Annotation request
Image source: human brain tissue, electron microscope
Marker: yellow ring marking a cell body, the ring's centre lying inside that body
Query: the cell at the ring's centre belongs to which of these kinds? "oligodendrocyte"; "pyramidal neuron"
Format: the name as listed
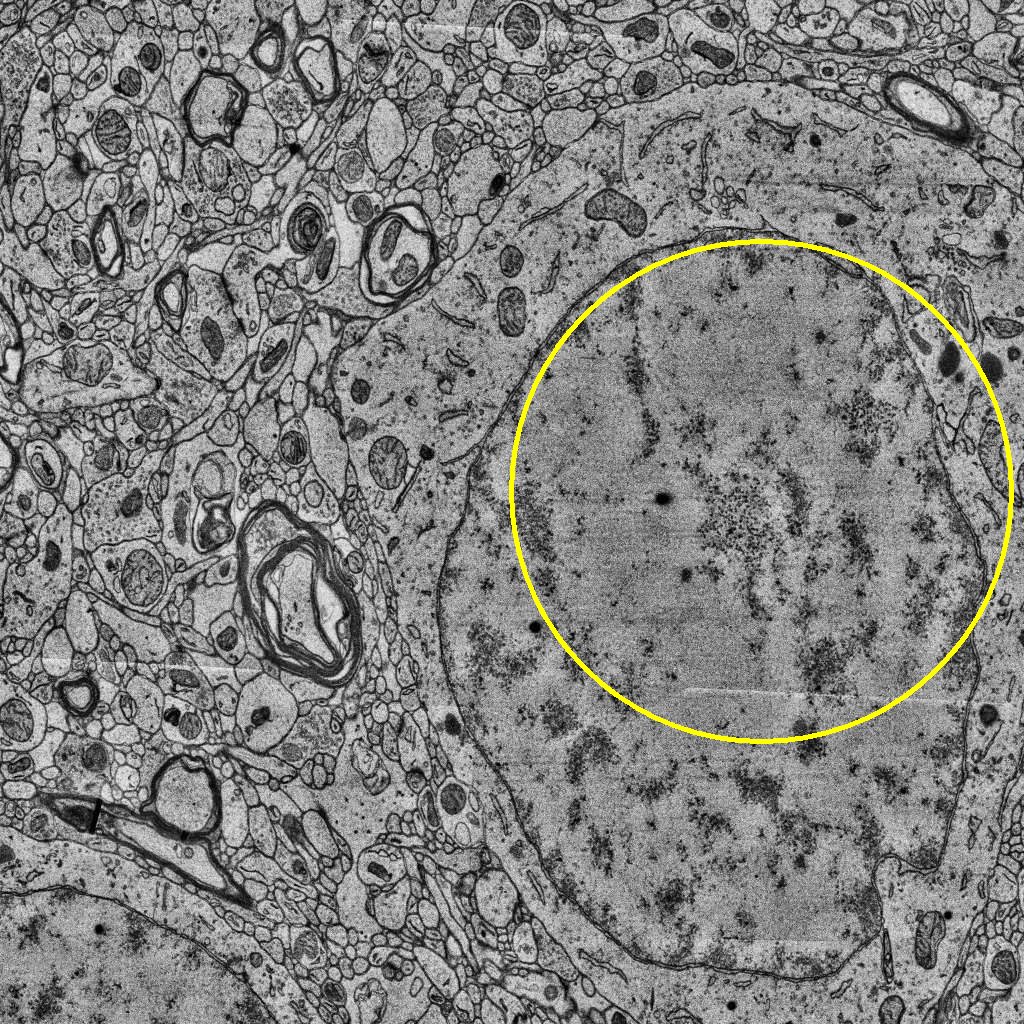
pyramidal neuron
